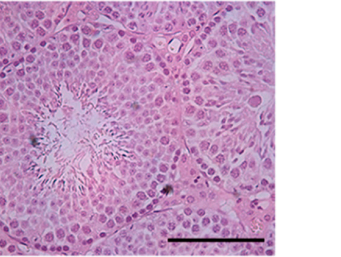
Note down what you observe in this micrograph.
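A seminiferous tubule of the testis is seen in cross-section, lined by a multilayered germinal epithelium. Cells with round purple nuclei form several layers from the basal wall to the lumen. Pale pink, fibrillar material gathers in the central lumen. Parts of neighbouring tubules and pink interstitial tissue surround it, and the epithelium looks intact.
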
